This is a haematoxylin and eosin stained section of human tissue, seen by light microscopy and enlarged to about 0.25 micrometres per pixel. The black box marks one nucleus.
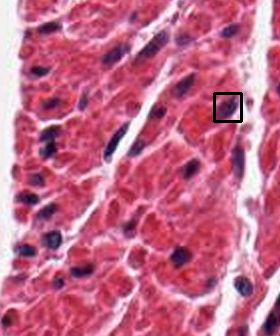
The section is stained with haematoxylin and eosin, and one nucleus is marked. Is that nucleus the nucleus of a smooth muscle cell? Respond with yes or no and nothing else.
yes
